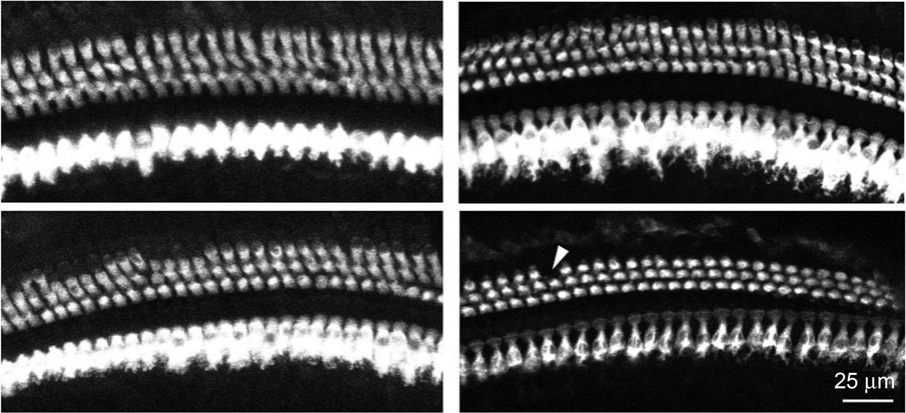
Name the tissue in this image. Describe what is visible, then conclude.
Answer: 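Three parallel rows of regularly spaced labelled cells above a single row. The rows run in a gently curving band. A dark gap separates the three rows from the single row.
Answer: organ of Corti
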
